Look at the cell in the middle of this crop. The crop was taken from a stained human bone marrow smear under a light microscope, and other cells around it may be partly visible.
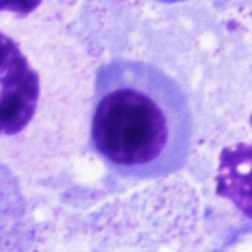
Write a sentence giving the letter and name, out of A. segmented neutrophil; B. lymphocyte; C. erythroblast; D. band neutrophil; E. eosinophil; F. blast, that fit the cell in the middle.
Option C is correct, and the cell in the centre is an erythroblast.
